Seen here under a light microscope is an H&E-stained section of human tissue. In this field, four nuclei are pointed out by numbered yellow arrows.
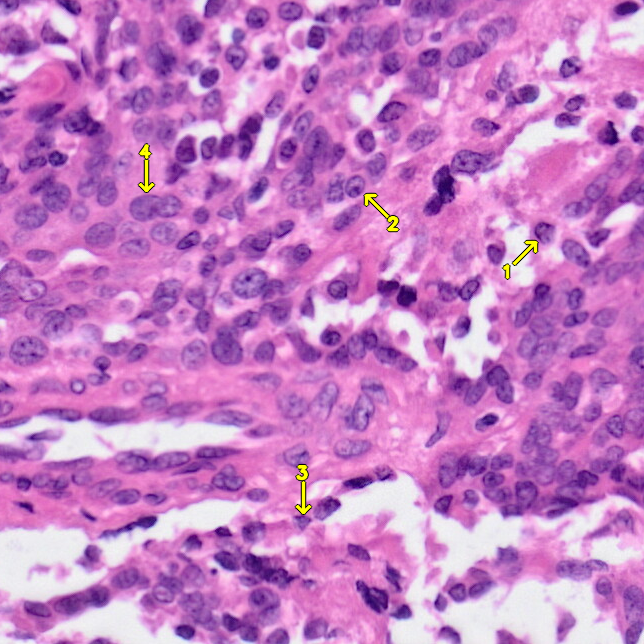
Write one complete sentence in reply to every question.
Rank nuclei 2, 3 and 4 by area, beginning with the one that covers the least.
The order from the smallest nucleus to the largest is 3, 2, 4.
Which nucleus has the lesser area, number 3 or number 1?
The smaller nucleus is 3, and 1 covers roughly 2 times its area.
